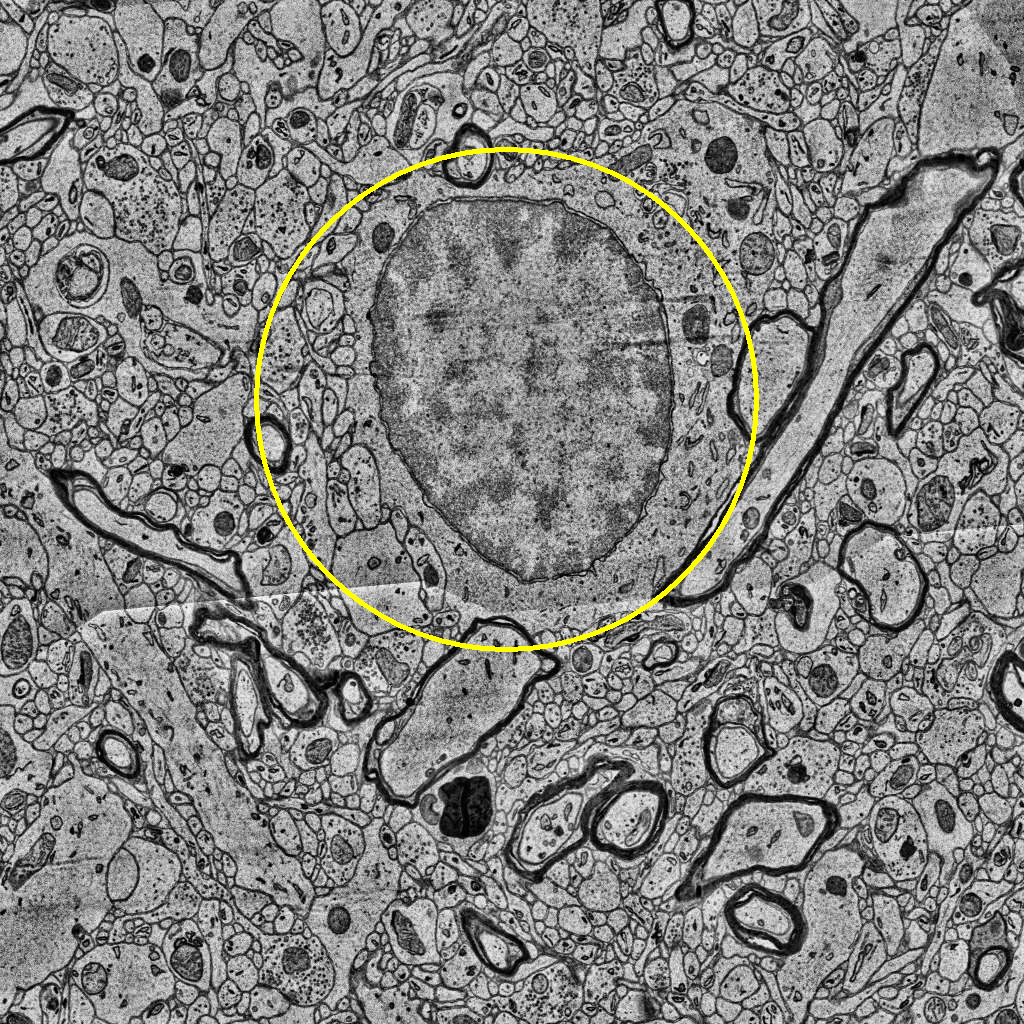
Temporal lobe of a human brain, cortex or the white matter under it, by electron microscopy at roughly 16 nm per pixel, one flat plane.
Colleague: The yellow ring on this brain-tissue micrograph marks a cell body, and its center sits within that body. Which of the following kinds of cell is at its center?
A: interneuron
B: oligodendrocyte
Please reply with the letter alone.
B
